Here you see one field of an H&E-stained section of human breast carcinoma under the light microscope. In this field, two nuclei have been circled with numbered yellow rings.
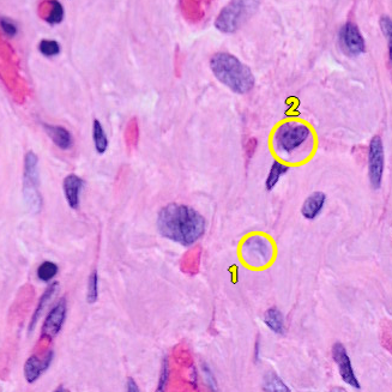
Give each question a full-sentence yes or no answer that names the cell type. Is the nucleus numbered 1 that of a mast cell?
No. Cell number 1 is a fibroblast, not a mast cell.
